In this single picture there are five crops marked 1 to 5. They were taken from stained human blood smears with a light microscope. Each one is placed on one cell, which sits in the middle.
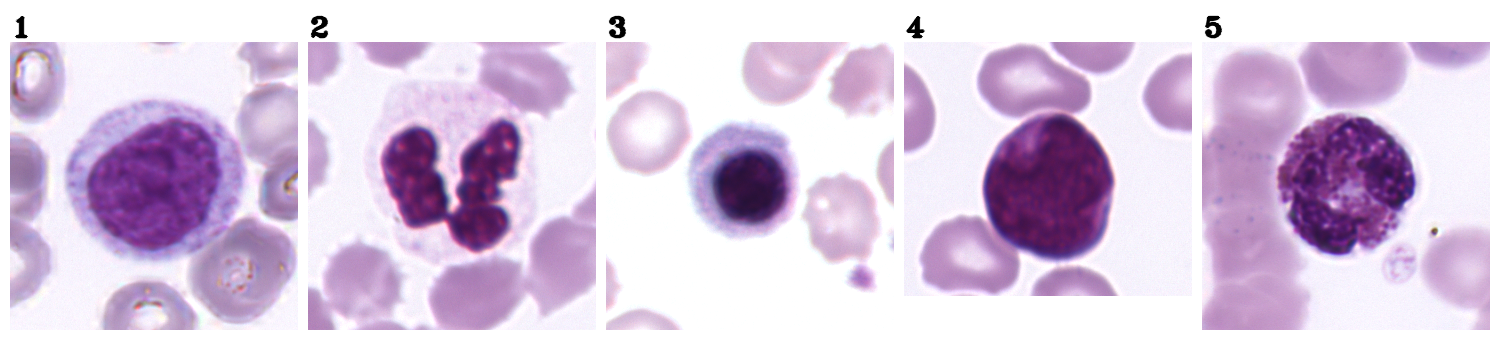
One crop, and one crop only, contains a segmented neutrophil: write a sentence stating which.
Crop 2 is the crop in which a segmented neutrophil is shown.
